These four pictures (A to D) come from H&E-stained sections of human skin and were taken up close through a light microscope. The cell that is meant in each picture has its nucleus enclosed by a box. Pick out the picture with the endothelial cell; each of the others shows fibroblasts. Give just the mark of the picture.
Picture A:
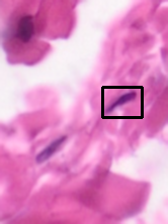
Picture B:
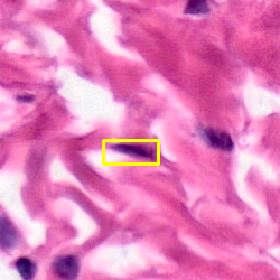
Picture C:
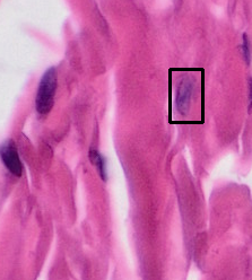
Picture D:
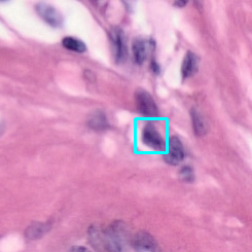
D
